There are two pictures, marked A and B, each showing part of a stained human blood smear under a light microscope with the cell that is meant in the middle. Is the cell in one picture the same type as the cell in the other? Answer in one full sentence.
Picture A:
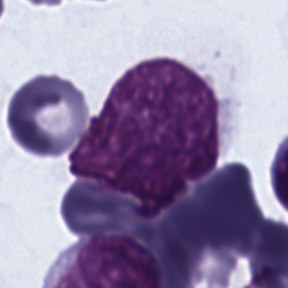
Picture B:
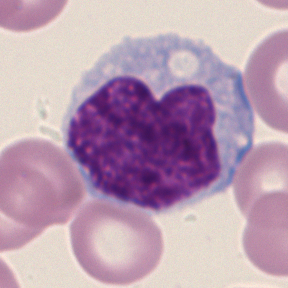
No, the types are not the same, since picture A shows a smudge cell and picture B a monocyte.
